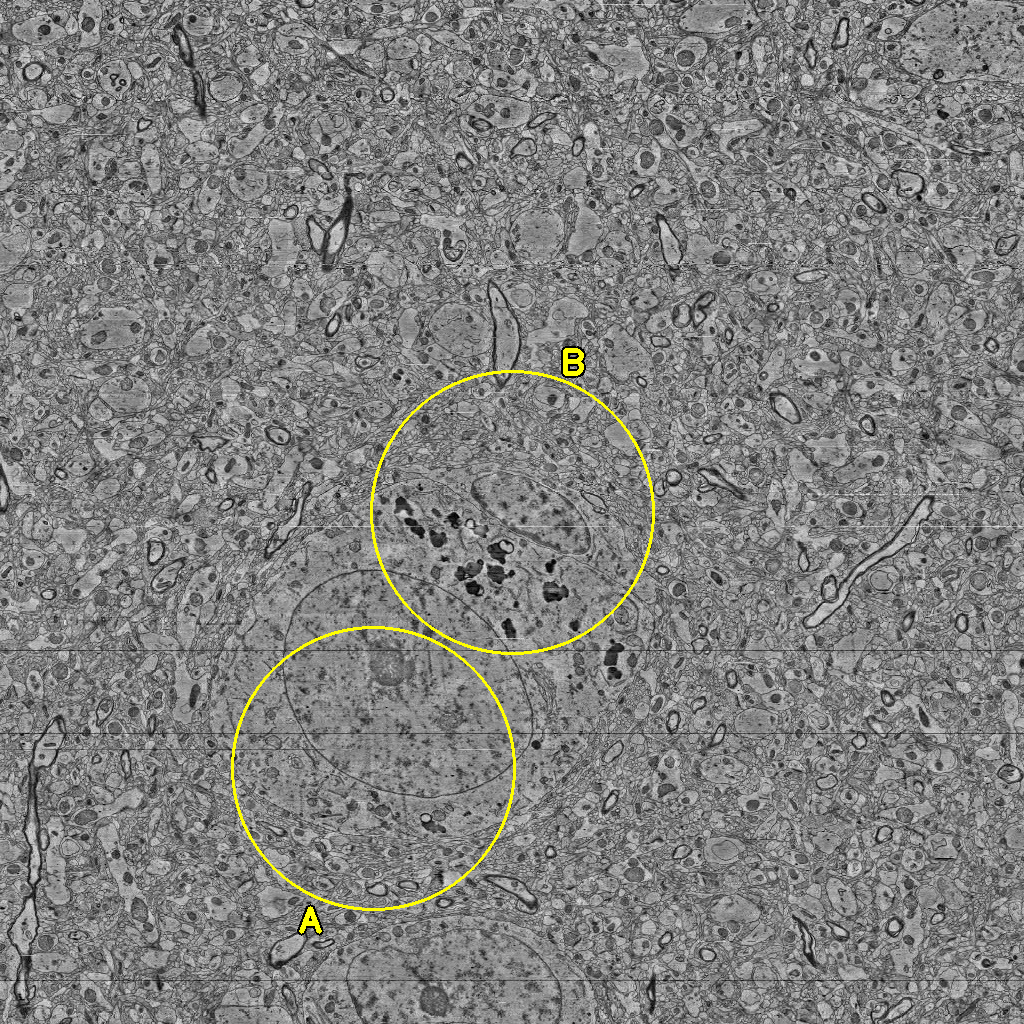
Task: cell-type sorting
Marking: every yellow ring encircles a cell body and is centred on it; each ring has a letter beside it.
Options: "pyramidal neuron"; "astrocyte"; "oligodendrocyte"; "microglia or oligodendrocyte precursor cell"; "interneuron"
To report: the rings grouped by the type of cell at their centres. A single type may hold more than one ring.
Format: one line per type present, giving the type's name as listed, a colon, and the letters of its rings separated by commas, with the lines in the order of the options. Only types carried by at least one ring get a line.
pyramidal neuron: A
microglia or oligodendrocyte precursor cell: B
